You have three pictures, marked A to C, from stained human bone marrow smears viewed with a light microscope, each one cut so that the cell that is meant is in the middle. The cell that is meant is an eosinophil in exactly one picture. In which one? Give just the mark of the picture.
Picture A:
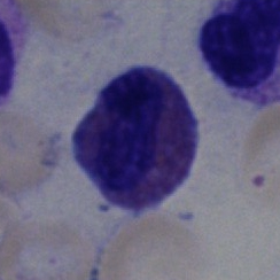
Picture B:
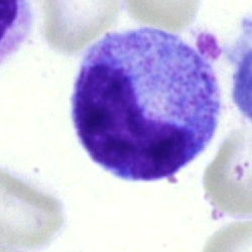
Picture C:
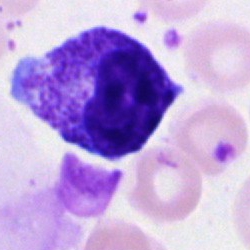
A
